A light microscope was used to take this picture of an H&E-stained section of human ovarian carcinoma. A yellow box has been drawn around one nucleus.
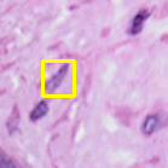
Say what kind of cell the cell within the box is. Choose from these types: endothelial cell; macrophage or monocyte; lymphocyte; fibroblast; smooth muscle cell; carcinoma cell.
fibroblast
